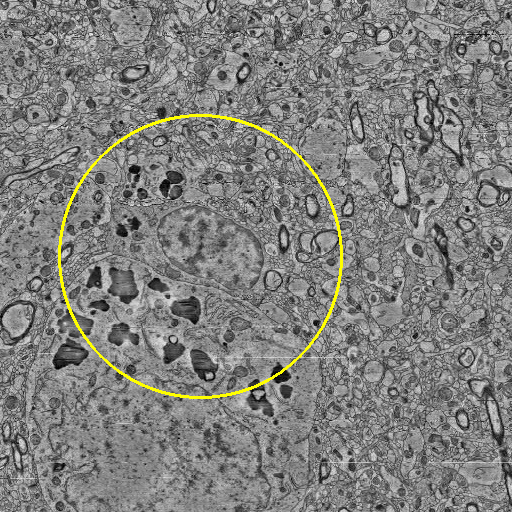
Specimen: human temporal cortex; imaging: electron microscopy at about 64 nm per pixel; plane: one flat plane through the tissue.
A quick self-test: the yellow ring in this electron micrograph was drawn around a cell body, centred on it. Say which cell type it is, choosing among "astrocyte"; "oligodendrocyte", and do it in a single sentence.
The yellow-ringed cell is an oligodendrocyte.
